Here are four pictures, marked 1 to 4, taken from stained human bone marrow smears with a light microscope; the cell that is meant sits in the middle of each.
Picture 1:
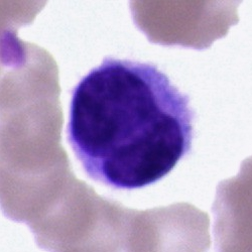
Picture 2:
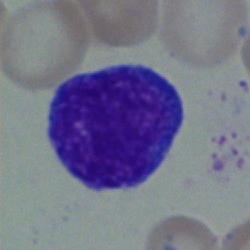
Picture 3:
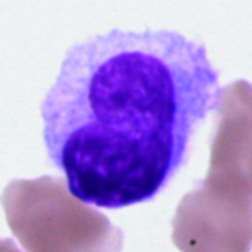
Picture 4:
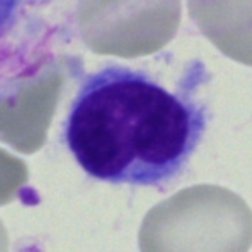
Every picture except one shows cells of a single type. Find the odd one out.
2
